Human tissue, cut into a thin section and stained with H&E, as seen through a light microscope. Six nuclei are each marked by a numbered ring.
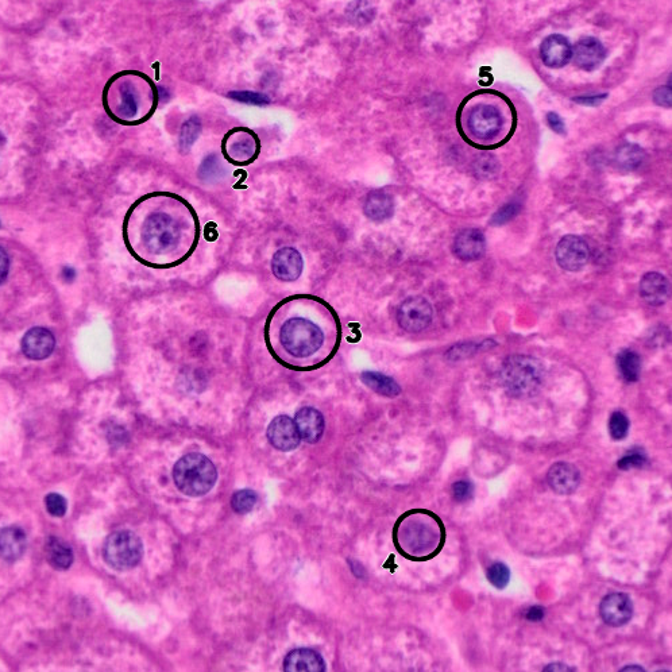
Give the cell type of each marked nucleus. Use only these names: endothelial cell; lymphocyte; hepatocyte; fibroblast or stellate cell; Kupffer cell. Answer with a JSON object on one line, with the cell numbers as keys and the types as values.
{"1": "endothelial cell", "2": "Kupffer cell", "3": "hepatocyte", "4": "hepatocyte", "5": "hepatocyte", "6": "hepatocyte"}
